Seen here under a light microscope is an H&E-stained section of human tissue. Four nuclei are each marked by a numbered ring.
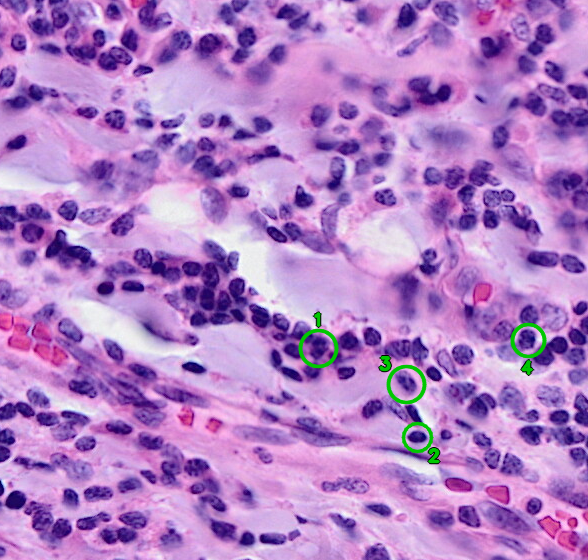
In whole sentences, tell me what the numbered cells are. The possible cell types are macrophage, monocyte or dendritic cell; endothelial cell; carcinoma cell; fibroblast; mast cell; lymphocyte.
Cell 1 is a lymphocyte, cell 2 is a lymphocyte, cell 3 is a mast cell and cell 4 is a lymphocyte.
